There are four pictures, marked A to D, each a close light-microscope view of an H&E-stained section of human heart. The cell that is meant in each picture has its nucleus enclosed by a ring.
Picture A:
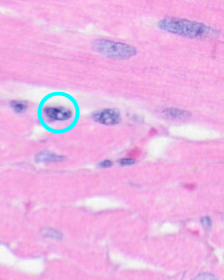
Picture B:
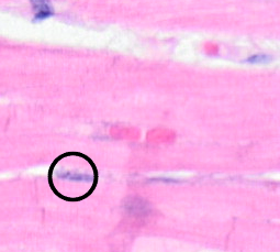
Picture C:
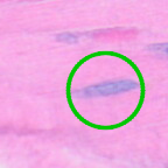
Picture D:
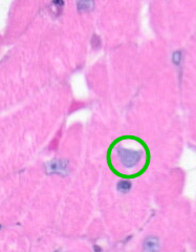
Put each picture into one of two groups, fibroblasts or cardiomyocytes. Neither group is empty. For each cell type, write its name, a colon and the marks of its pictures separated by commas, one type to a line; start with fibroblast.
fibroblast: A, B
cardiomyocyte: C, D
